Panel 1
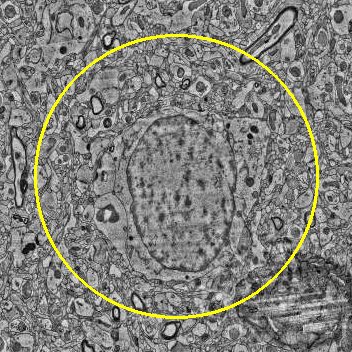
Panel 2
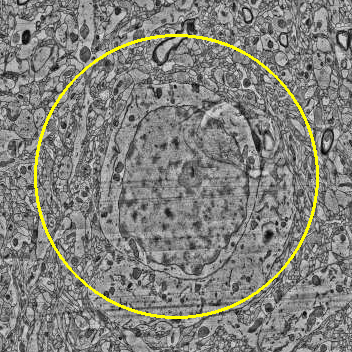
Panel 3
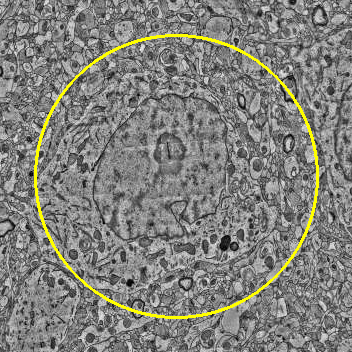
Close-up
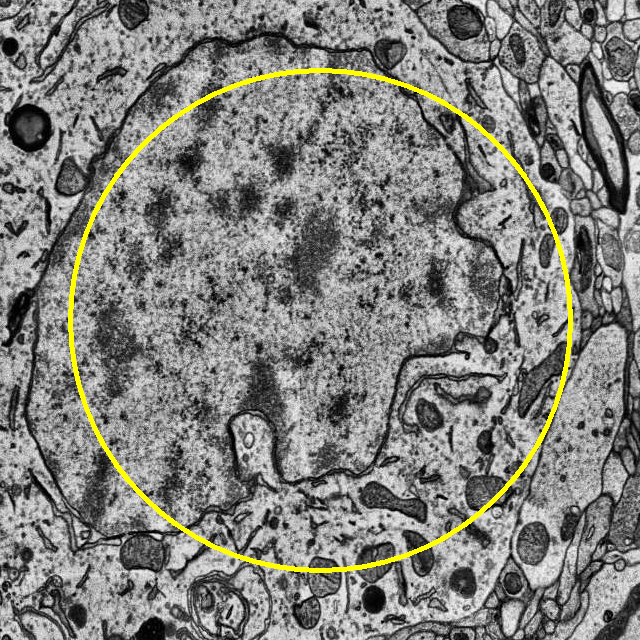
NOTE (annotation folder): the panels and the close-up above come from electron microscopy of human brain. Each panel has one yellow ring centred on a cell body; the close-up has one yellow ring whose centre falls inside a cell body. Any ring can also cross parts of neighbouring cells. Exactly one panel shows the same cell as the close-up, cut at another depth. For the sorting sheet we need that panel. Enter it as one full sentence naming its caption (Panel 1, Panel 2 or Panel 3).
The enlargement corresponds to the cell circled in Panel 3.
